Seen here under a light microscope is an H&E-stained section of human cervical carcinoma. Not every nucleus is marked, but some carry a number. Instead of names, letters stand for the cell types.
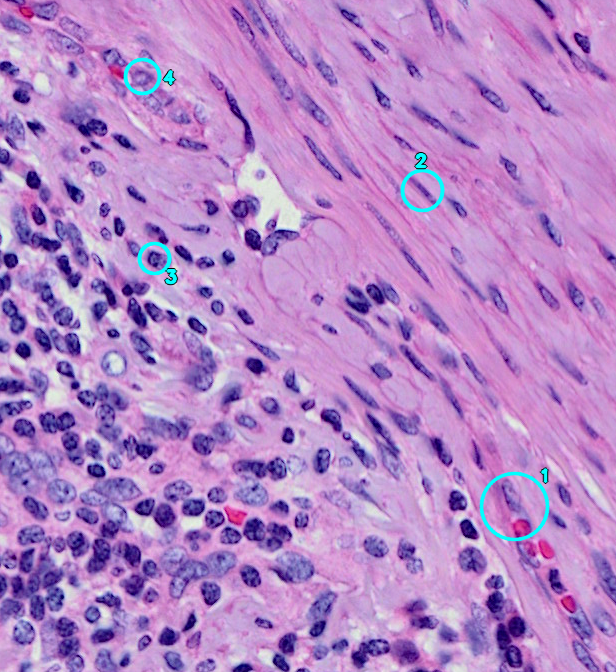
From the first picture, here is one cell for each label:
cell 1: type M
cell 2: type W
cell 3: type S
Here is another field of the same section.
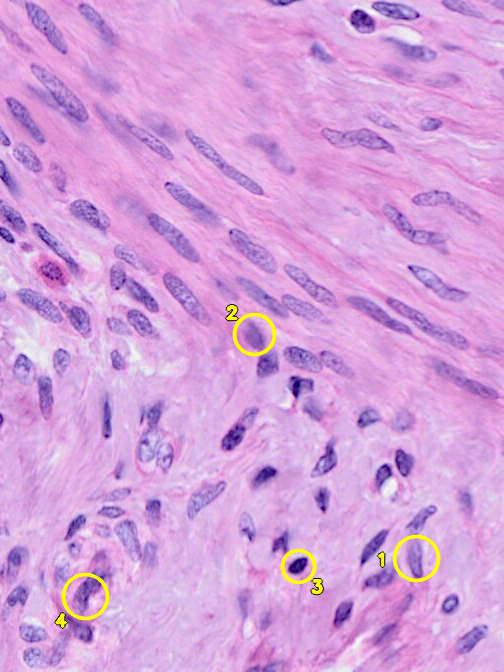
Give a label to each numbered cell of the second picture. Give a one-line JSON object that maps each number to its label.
{"1": "type W", "2": "type W", "3": "type S", "4": "type M"}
